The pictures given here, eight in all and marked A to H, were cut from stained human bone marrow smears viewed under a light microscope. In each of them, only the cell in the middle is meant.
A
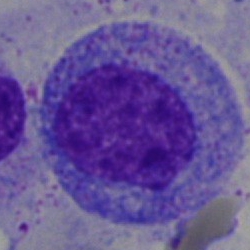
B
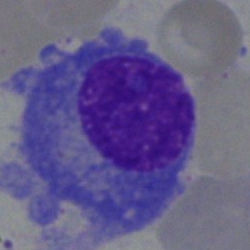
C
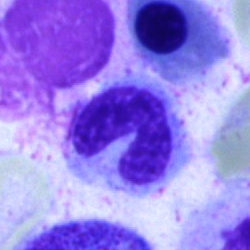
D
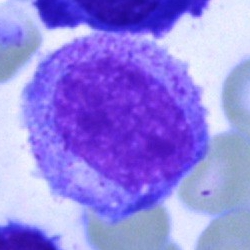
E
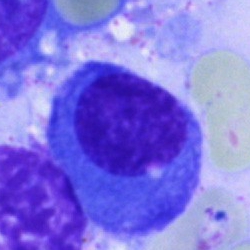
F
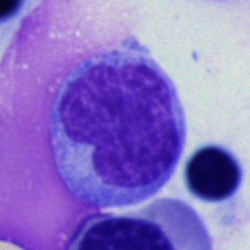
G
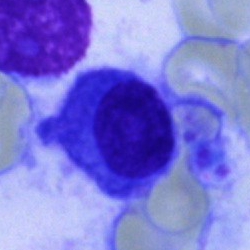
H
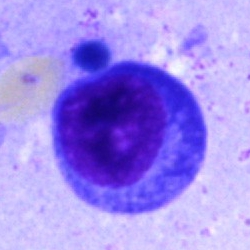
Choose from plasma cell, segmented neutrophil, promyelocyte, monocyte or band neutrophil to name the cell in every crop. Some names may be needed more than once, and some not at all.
A: promyelocyte
B: plasma cell
C: band neutrophil
D: promyelocyte
E: plasma cell
F: monocyte
G: plasma cell
H: plasma cell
